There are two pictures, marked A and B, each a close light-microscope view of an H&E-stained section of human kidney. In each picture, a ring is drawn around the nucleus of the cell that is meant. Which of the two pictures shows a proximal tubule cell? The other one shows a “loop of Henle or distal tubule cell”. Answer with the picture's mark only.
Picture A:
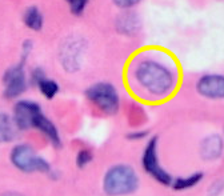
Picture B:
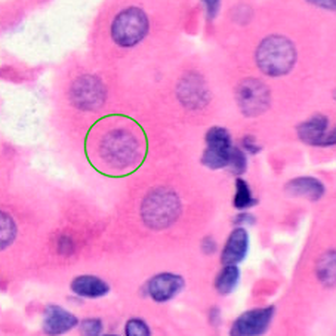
B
